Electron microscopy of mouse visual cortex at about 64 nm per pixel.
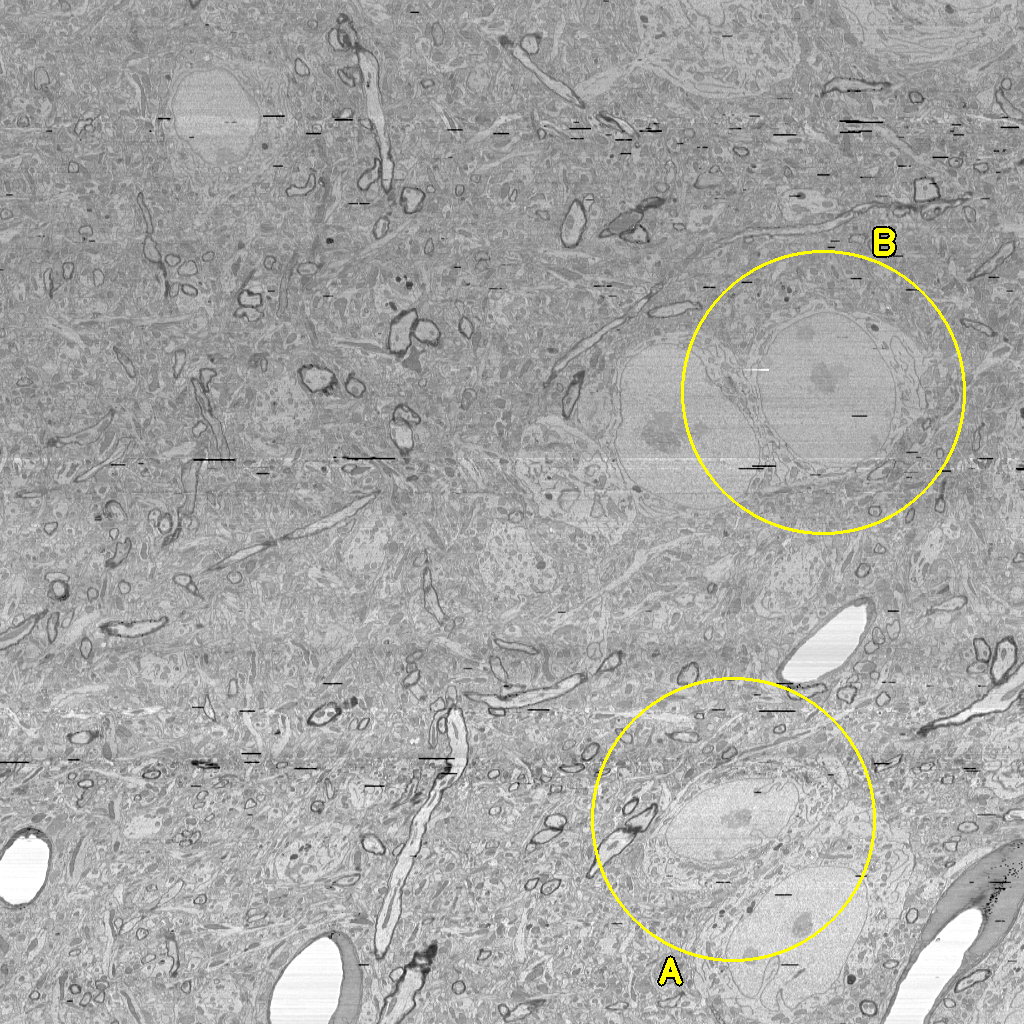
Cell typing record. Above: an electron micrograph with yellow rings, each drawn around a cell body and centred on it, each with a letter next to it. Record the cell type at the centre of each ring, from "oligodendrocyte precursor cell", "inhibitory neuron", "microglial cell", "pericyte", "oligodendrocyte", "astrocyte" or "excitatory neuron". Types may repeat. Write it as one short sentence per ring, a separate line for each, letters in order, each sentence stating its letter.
Ring A circles an inhibitory neuron.
Ring B circles an excitatory neuron.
